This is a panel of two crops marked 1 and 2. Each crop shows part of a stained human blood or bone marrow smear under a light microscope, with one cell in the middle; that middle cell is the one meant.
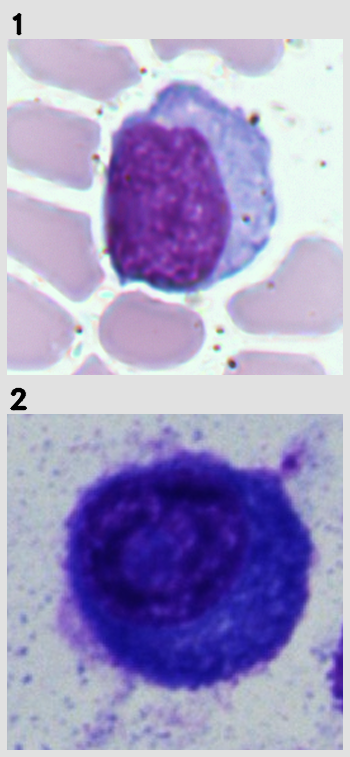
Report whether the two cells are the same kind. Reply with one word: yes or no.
yes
